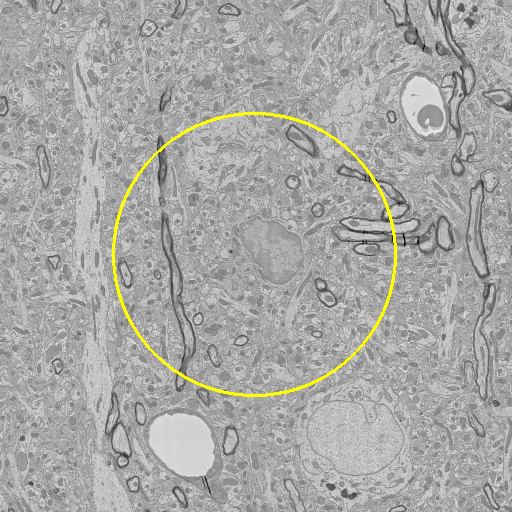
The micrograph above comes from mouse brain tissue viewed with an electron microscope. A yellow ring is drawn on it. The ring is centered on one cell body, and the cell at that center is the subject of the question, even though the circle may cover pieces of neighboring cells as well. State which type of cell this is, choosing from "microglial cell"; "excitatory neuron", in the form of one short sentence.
The cell the ring is centered on is a microglial cell.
